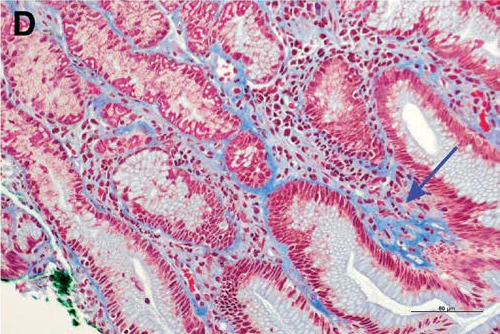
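This is gastric mucosa with foveolae and glands, in which the epithelium stains red and fibrous stroma stains blue. The foveolar cells are tall columnar cells with pale, foamy mucin caps and red-purple basal nuclei. Blue fibres run between the foveolae and glands, surrounding the epithelial profiles. Beneath the surface epithelium the blue material gathers into a thicker band. Small dark nuclei of stromal and inflammatory cells lie scattered in the blue-stained stroma.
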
